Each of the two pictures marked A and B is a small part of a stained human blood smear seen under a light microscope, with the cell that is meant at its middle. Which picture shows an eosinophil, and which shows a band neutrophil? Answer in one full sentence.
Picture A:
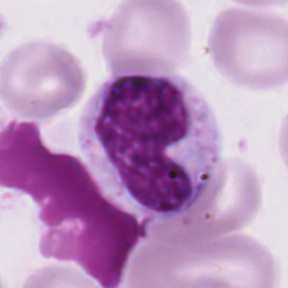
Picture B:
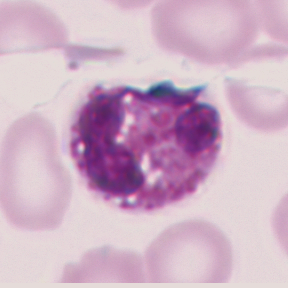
The cell in picture A is a band neutrophil, and the one in picture B is an eosinophil.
